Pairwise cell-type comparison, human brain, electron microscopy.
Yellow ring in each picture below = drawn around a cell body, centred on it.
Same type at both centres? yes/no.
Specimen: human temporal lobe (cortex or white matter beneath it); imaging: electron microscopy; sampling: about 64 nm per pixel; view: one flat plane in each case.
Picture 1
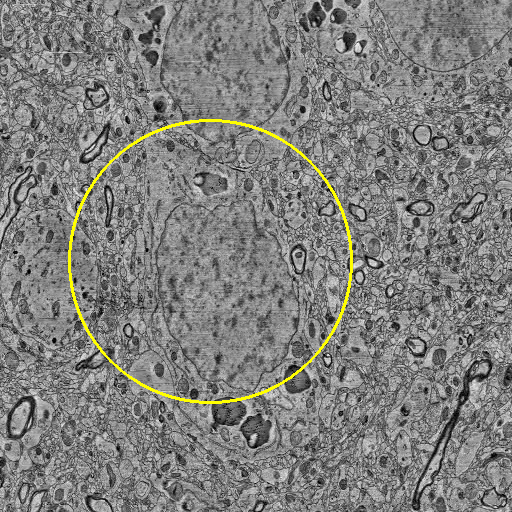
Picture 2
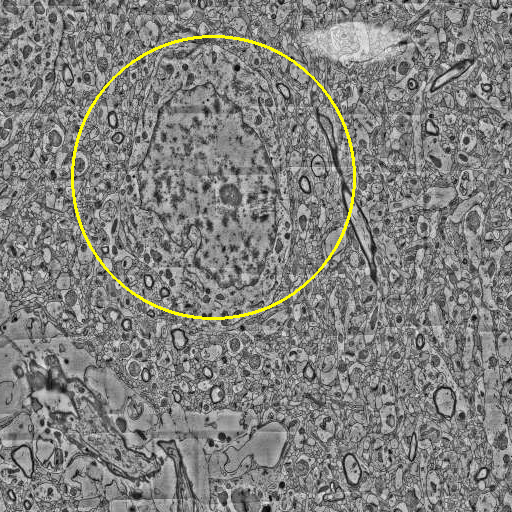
yes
